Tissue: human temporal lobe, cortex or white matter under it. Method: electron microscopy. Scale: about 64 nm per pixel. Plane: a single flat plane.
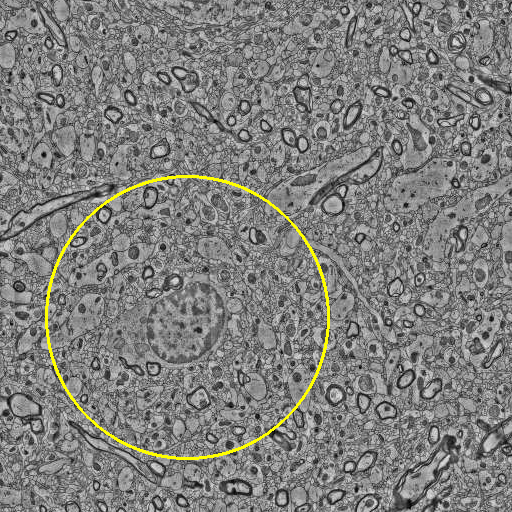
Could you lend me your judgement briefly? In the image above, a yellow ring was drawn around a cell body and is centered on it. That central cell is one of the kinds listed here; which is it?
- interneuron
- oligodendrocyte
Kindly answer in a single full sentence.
Going by the list, an oligodendrocyte is the kind at the ring's center in the picture.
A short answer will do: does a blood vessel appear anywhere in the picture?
No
